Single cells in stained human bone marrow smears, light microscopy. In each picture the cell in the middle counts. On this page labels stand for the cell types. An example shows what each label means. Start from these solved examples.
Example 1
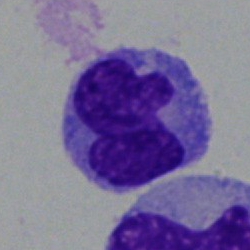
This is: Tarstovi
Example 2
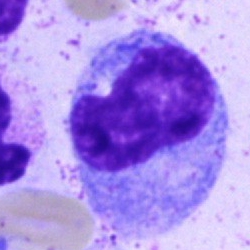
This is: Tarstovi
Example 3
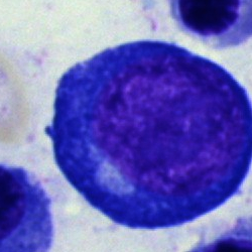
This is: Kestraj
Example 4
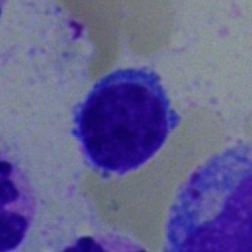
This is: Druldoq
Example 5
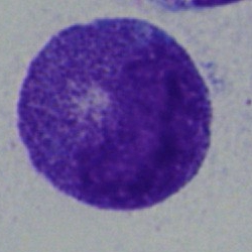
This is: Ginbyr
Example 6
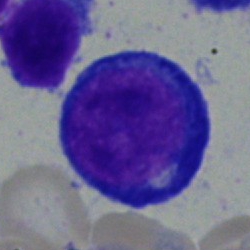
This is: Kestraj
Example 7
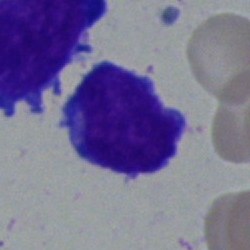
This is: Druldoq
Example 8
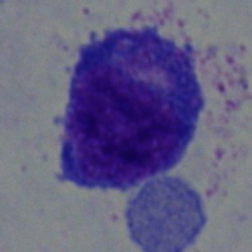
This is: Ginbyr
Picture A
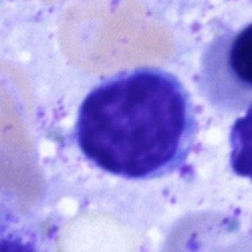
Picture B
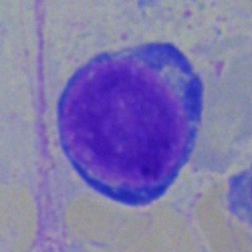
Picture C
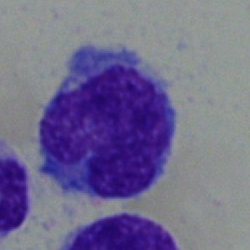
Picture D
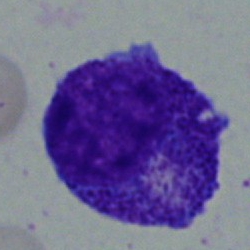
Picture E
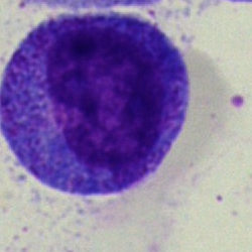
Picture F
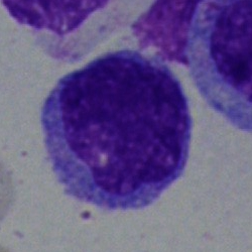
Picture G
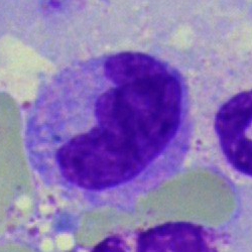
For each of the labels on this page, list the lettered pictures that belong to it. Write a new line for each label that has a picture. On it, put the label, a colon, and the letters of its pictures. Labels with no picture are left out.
Tarstovi: C, F, G
Kestraj: B
Druldoq: A
Ginbyr: D, E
